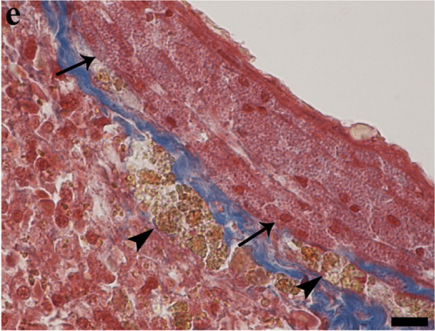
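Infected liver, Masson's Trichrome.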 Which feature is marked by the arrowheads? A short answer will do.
macrophage aggregates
